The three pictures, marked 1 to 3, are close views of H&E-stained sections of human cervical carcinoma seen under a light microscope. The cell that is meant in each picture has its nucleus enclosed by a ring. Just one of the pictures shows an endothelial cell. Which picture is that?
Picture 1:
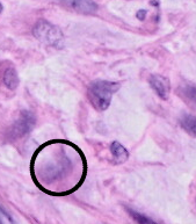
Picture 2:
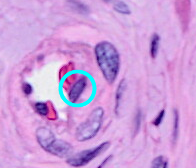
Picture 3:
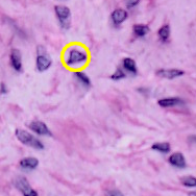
2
